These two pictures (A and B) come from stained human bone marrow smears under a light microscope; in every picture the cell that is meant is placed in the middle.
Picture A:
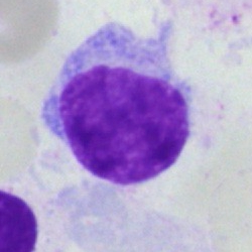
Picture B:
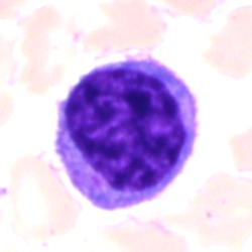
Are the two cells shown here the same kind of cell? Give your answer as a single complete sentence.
No, they differ: the cell is a hairy cell in picture A and a plasma cell in picture B.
